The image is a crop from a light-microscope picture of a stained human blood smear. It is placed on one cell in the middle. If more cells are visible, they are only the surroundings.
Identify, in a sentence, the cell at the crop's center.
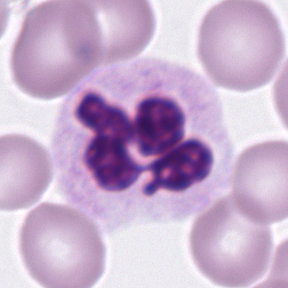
By classification, the middle cell of this crop is a segmented neutrophil.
